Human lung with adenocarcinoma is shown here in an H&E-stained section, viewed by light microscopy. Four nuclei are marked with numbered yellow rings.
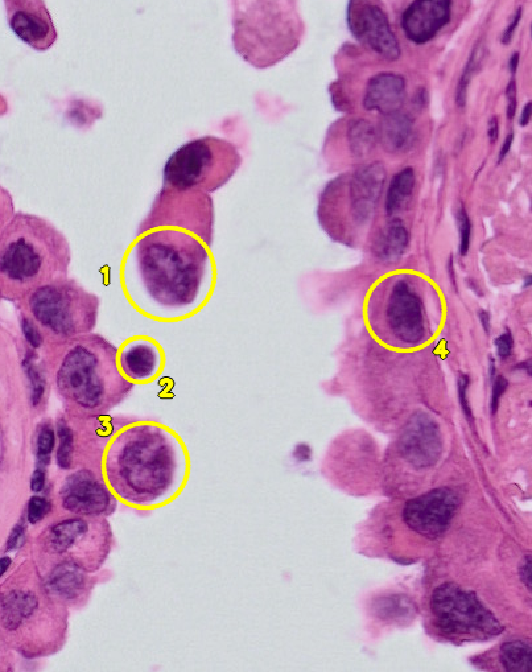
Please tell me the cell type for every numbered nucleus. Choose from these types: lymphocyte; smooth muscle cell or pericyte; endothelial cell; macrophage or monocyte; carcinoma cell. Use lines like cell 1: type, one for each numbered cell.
cell 1: carcinoma cell
cell 2: lymphocyte
cell 3: carcinoma cell
cell 4: carcinoma cell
